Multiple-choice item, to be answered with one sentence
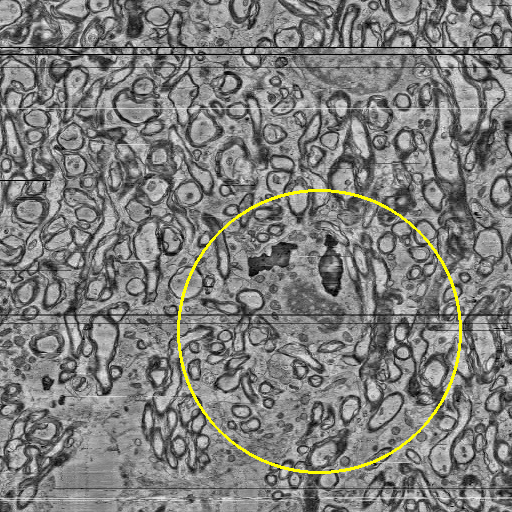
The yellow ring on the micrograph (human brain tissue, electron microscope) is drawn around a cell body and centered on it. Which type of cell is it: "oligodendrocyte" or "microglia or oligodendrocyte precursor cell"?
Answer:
The ring is centered on an oligodendrocyte.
